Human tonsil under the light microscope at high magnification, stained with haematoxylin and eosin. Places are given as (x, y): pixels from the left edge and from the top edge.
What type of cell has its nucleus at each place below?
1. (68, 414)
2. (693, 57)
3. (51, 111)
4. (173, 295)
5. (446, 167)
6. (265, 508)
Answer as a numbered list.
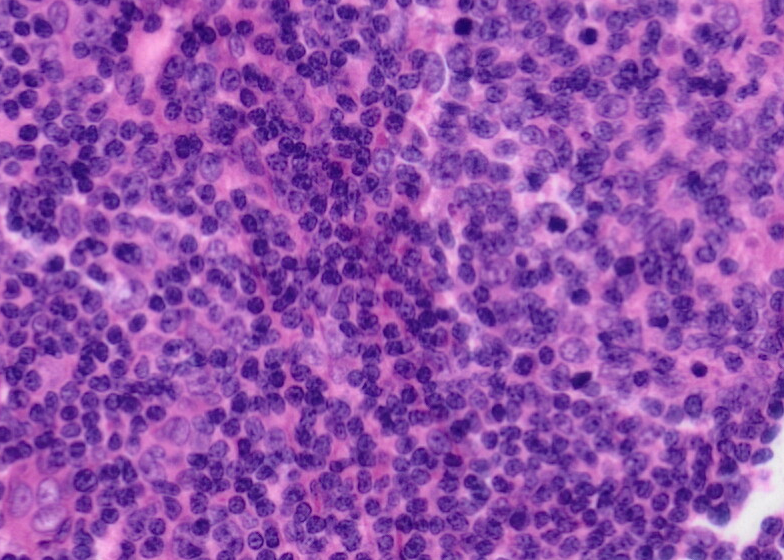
1. small lymphocyte
2. proliferating B cell
3. small lymphocyte
4. small lymphocyte
5. proliferating B cell
6. small lymphocyte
